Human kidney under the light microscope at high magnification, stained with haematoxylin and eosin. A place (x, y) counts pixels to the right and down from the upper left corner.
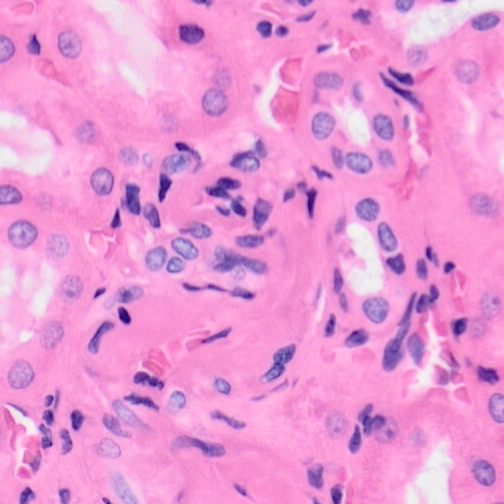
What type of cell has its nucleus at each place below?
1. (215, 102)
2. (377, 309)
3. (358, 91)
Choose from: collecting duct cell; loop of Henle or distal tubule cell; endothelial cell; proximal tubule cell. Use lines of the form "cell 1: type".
cell 1: proximal tubule cell
cell 2: collecting duct cell
cell 3: collecting duct cell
